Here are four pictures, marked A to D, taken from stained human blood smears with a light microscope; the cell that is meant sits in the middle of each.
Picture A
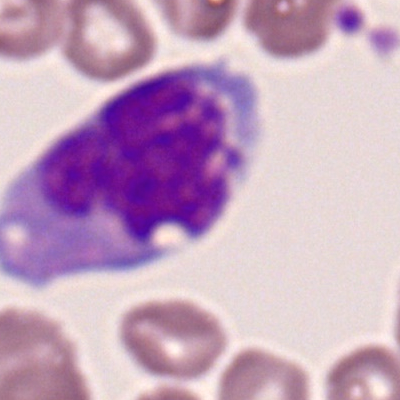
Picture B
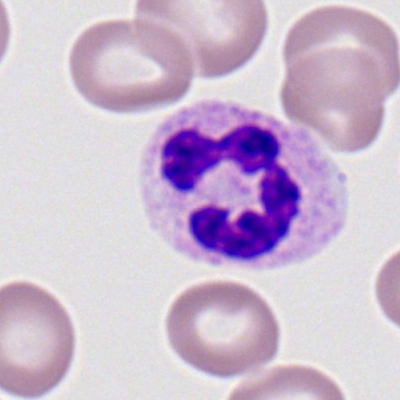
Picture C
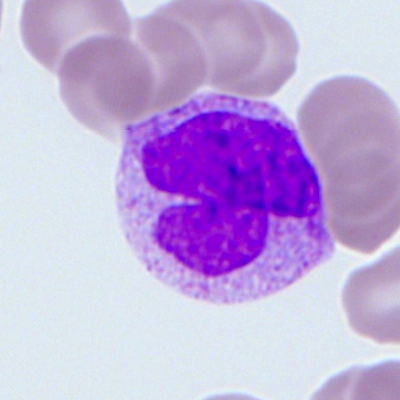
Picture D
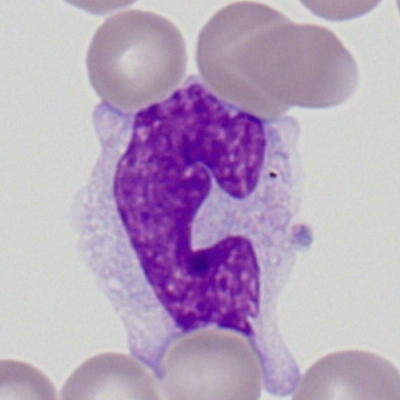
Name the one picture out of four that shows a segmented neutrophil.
B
